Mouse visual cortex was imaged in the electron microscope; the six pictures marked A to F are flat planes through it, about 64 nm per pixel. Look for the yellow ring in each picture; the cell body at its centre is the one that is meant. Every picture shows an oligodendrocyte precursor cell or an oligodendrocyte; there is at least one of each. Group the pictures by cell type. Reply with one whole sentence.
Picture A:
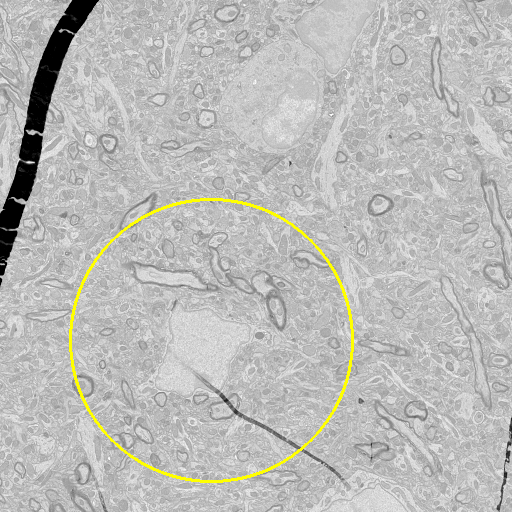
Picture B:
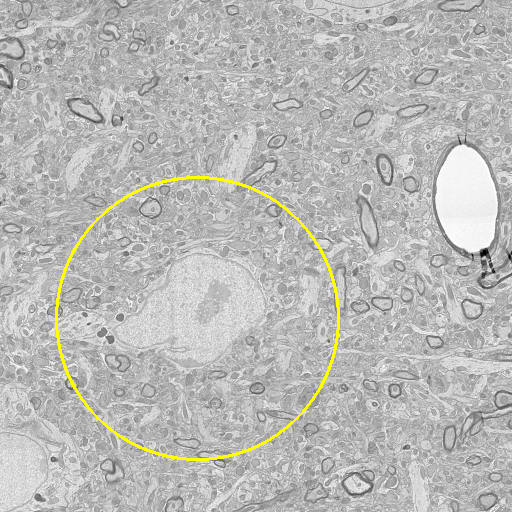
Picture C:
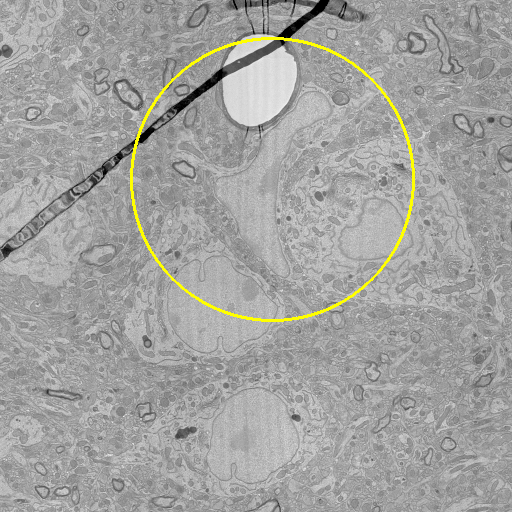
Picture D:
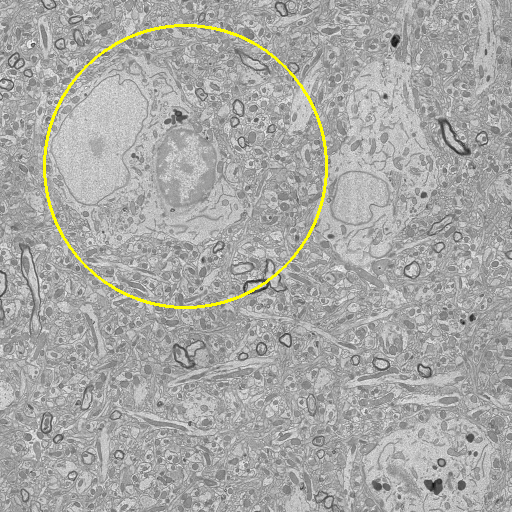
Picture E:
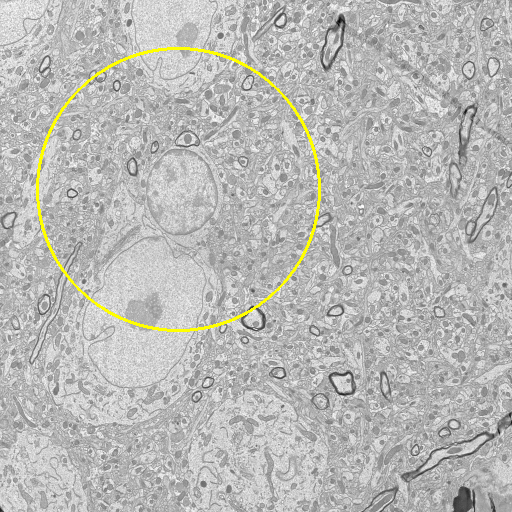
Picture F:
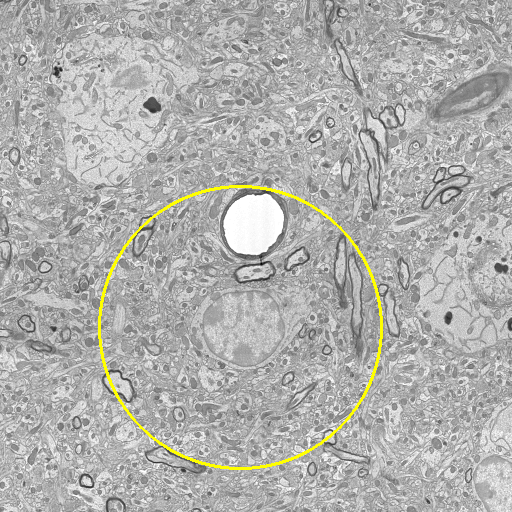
Pictures A, B and C show oligodendrocyte precursor cells, while pictures D, E and F show oligodendrocytes.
